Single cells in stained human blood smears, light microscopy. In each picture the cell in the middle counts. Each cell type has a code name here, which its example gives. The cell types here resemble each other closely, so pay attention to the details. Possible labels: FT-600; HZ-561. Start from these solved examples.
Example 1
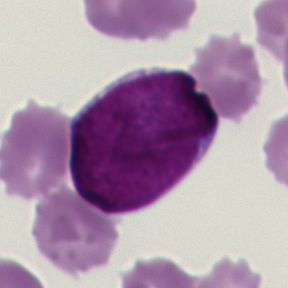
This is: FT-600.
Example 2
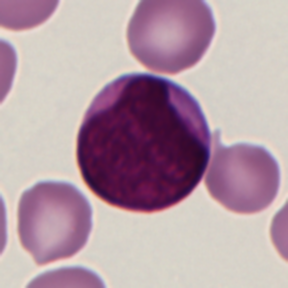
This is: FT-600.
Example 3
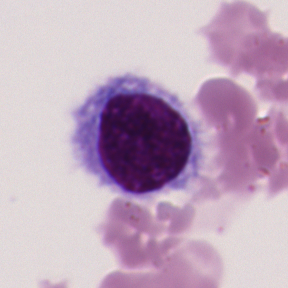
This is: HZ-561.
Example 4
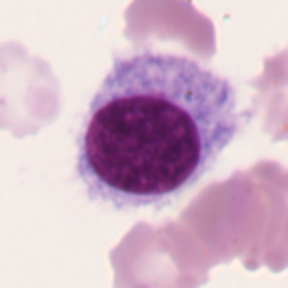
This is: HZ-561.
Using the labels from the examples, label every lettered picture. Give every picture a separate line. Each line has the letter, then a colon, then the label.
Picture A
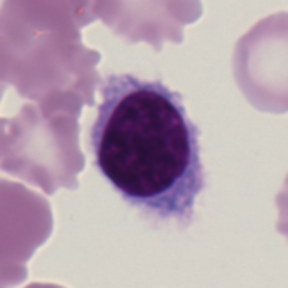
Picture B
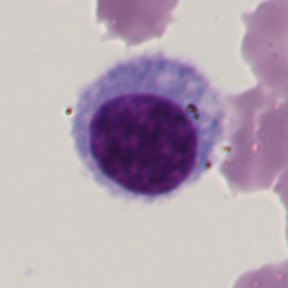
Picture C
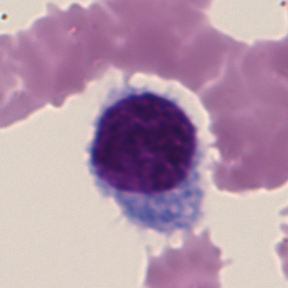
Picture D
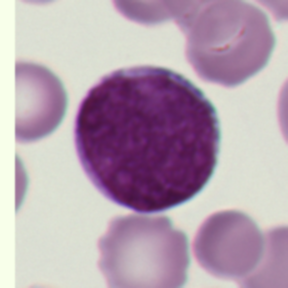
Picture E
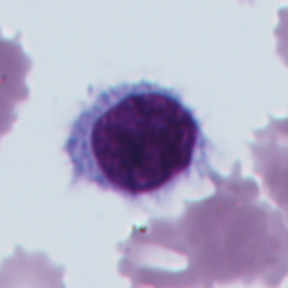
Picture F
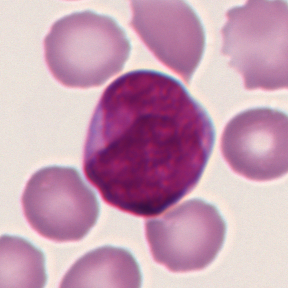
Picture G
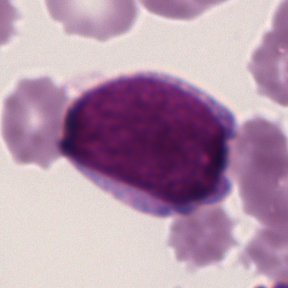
A: HZ-561.
B: HZ-561.
C: HZ-561.
D: FT-600.
E: HZ-561.
F: FT-600.
G: FT-600.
